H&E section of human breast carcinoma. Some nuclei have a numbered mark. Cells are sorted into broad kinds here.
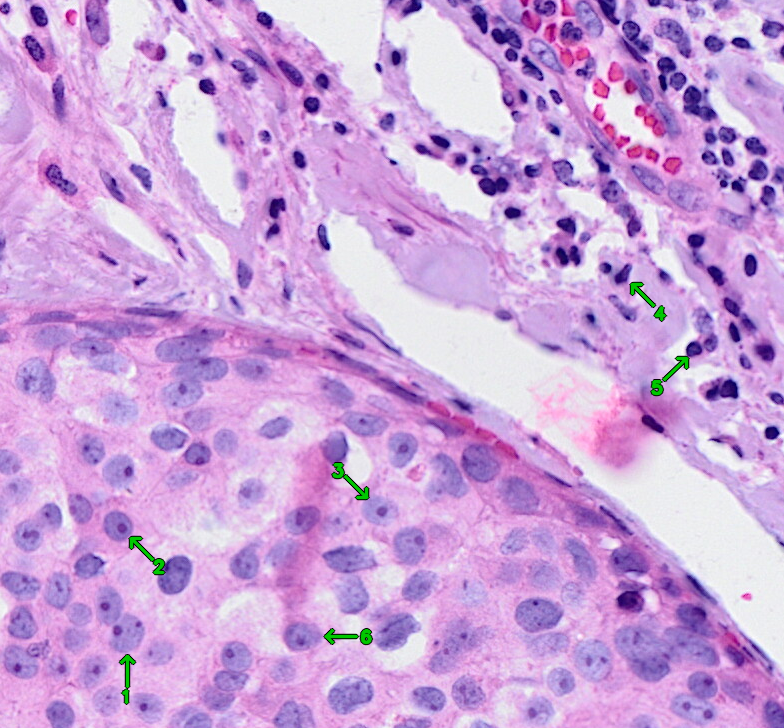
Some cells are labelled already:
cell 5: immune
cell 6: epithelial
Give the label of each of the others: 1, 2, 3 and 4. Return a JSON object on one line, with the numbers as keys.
{"1": "epithelial", "2": "epithelial", "3": "epithelial", "4": "immune"}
